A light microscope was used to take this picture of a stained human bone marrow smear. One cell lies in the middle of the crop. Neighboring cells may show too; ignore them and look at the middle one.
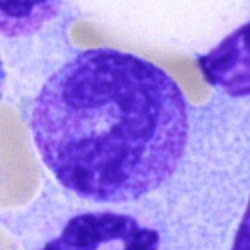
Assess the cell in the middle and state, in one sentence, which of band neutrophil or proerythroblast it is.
The target cell in the middle of the crop is a band neutrophil.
